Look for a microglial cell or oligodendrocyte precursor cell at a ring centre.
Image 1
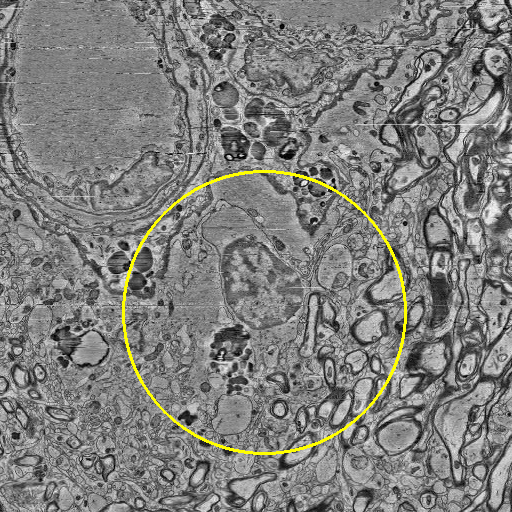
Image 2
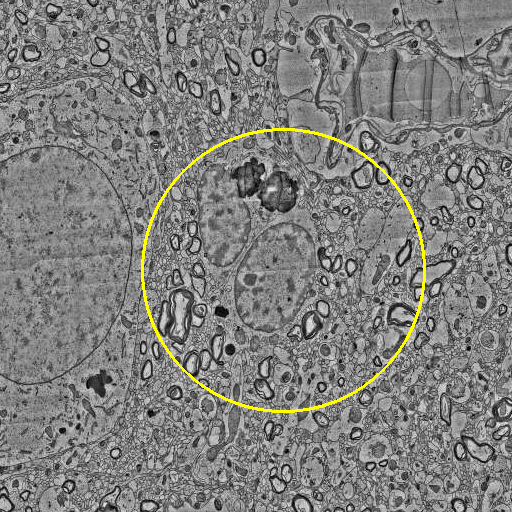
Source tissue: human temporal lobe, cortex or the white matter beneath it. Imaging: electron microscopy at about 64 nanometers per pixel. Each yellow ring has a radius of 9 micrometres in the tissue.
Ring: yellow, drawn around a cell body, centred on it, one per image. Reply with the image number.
1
